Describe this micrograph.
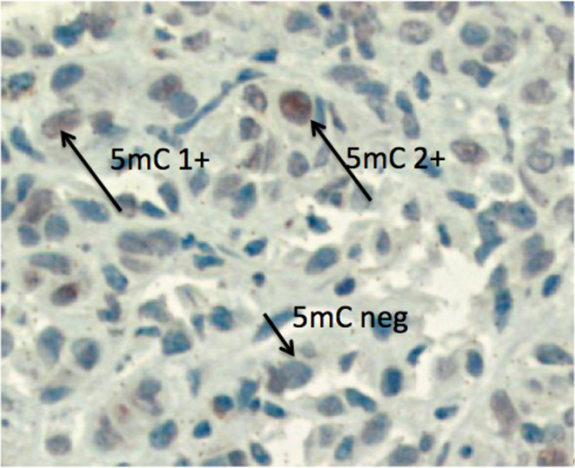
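The nuclei are oval to elongated and moderately large, some more rounded and others spindle-shaped. The nuclei differ in colour: some are plain blue from the counterstain, some carry a faint brownish tint, and a few are a distinct darker brown. The cytoplasm is pale and scant, with no pigment granules. Small dark blue, narrow nuclei are interspersed among the larger tumour nuclei.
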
